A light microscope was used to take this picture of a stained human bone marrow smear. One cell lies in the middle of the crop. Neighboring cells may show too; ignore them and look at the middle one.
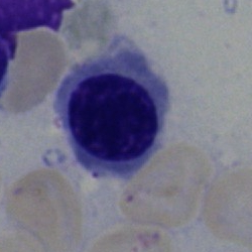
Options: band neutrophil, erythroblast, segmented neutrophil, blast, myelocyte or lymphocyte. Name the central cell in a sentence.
Occupying the centre of the crop is an erythroblast.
